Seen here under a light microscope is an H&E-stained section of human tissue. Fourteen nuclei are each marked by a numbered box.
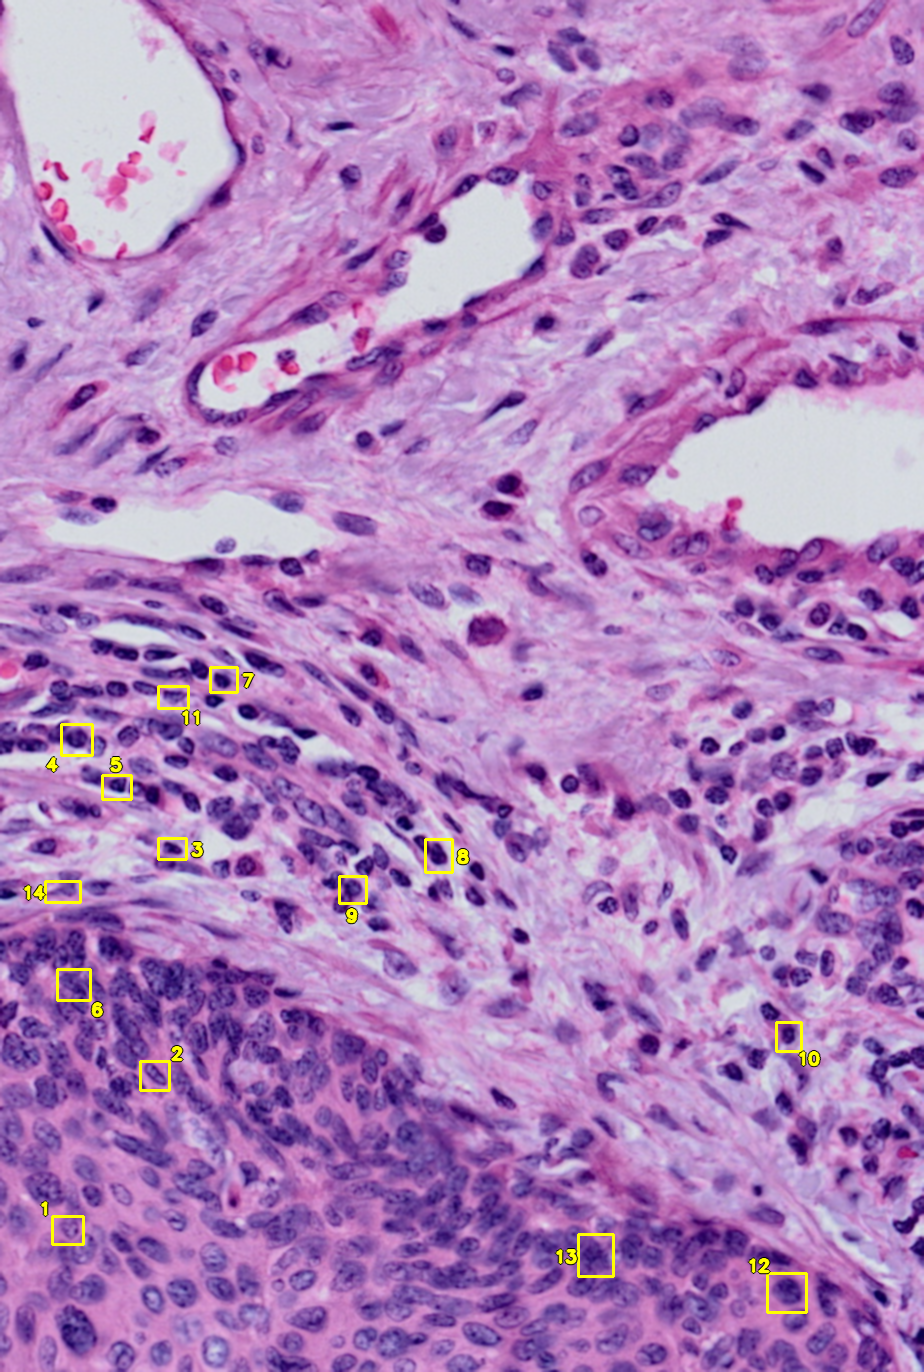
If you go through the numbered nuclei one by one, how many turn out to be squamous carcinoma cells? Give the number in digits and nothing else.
5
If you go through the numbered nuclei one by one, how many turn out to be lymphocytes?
8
